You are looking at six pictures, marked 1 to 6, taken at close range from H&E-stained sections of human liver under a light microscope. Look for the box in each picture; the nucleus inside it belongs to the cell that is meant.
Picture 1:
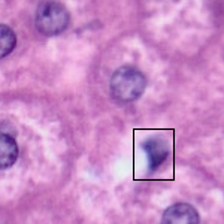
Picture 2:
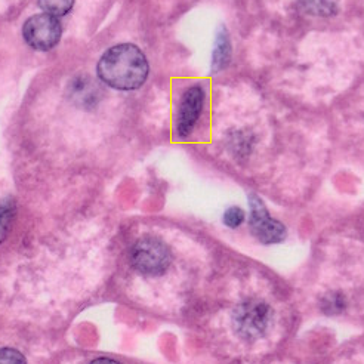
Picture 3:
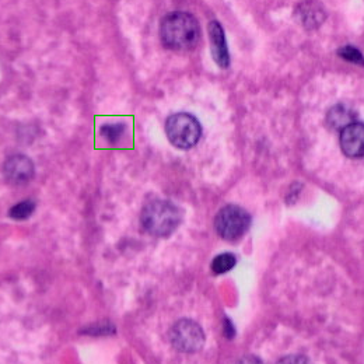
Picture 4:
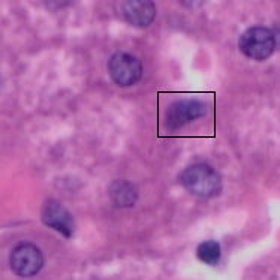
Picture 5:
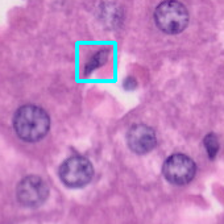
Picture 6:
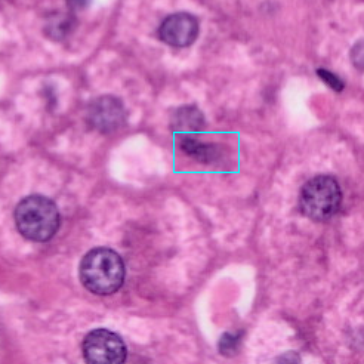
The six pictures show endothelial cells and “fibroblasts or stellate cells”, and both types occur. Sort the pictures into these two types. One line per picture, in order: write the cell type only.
endothelial cell
fibroblast or stellate cell
endothelial cell
fibroblast or stellate cell
endothelial cell
fibroblast or stellate cell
